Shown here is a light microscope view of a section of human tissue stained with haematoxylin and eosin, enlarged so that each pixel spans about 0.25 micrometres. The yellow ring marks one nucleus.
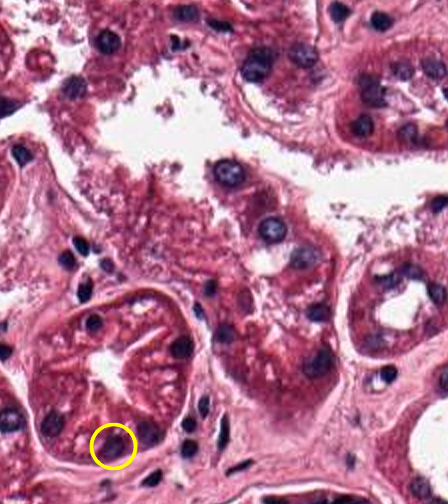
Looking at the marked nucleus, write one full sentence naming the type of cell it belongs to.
In this picture, the marked nucleus belongs to a proximal tubule cell.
